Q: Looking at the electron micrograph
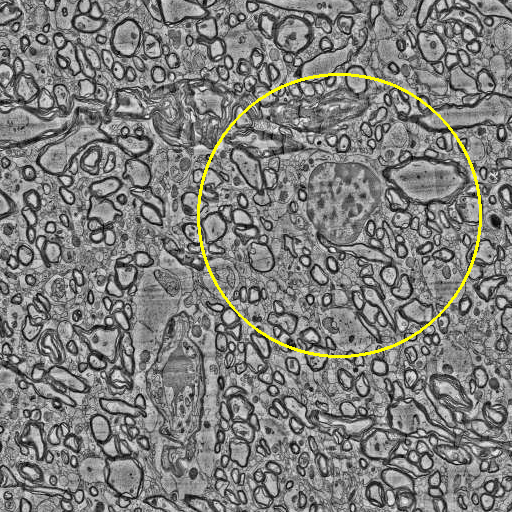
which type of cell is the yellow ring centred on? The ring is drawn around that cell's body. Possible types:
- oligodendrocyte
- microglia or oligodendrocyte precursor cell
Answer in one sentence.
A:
The yellow ring is centred on a microglial cell or oligodendrocyte precursor cell.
